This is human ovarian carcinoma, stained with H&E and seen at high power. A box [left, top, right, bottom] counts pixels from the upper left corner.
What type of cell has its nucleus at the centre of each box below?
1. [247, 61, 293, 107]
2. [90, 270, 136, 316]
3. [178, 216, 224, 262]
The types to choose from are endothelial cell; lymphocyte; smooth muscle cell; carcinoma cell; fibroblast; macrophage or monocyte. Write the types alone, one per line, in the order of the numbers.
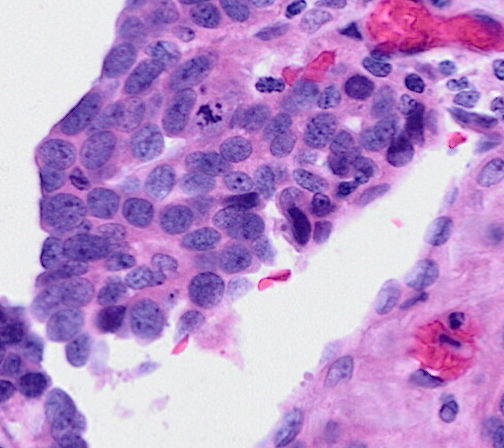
lymphocyte
carcinoma cell
carcinoma cell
